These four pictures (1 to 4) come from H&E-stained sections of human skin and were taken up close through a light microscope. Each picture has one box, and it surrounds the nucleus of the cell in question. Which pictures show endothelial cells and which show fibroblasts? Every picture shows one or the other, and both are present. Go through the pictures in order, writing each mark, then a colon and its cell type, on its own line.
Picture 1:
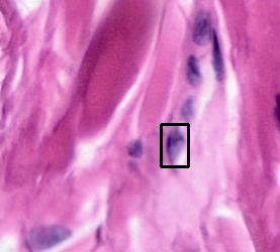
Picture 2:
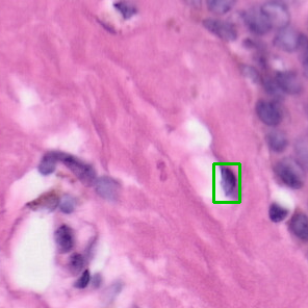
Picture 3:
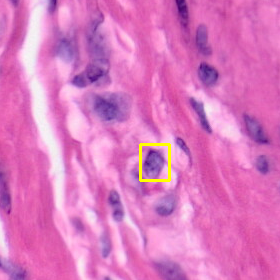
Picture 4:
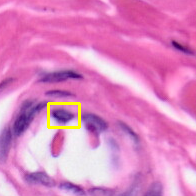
1: endothelial cell
2: fibroblast
3: endothelial cell
4: endothelial cell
